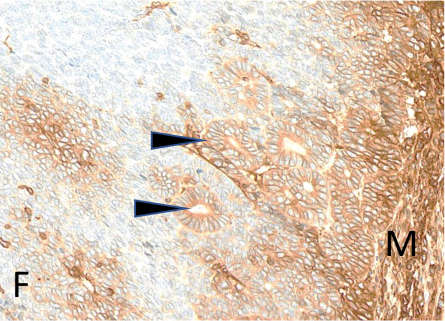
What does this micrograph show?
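Nephroblastoma with three components side by side: undifferentiated blastema cells, tubular epithelial structures and mesenchymal cells. At upper left, sheets of densely packed small cells with oval blue nuclei and scant cytoplasm are unstained. Across the centre, tubules of columnar epithelial cells are arranged around small lumens, their cell borders outlined in brown. At right, elongated mesenchymal cells in streaming bundles are strongly and diffusely brown.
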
